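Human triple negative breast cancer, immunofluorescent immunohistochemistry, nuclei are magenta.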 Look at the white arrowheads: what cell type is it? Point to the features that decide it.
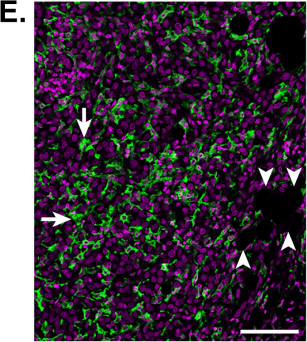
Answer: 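Large round black empty spaces at the right edge. The spaces are far larger than the surrounding nuclei and are unstained inside.
Conclusion: adipocytes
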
